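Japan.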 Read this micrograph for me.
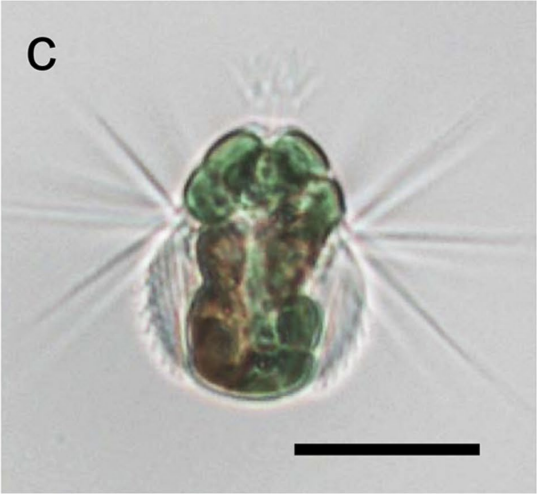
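Fine straight cirri radiate from the constriction and striated ciliary rows flank the lower half. A cluster of short tentacle-like processes projects from the top end.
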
